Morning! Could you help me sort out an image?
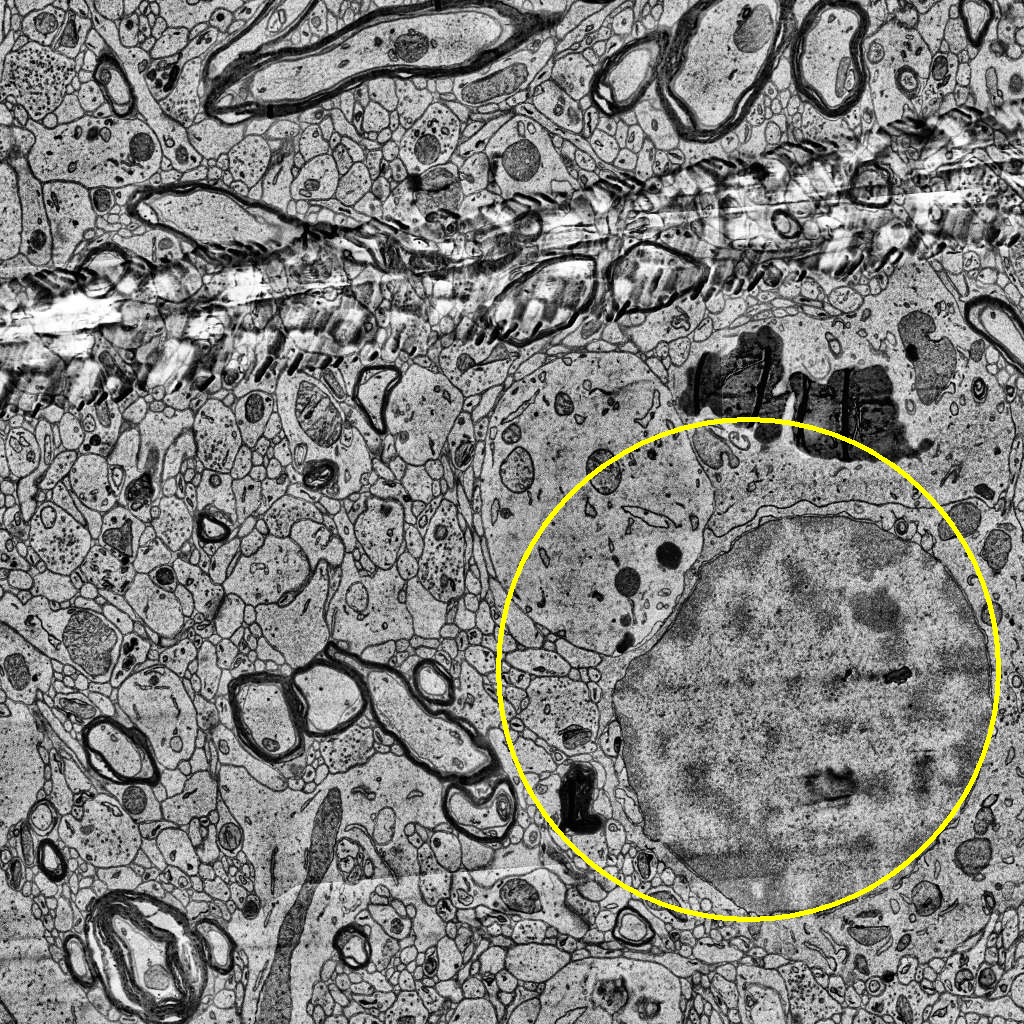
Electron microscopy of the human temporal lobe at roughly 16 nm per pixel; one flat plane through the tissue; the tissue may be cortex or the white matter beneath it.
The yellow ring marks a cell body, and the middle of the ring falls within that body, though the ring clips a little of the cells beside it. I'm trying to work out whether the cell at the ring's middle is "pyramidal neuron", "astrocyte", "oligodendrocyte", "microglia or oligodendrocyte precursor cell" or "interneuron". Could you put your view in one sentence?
The cell body at the ring's middle is that of an oligodendrocyte.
